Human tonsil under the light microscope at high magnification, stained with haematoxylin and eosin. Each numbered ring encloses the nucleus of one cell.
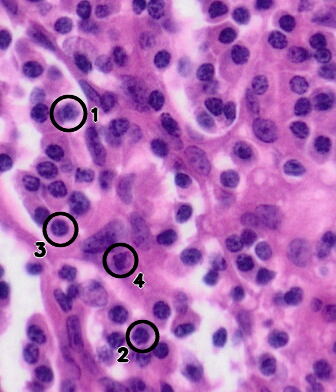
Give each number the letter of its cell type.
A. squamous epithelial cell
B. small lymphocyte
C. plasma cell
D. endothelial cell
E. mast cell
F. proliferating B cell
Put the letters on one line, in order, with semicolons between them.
C; C; C; A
